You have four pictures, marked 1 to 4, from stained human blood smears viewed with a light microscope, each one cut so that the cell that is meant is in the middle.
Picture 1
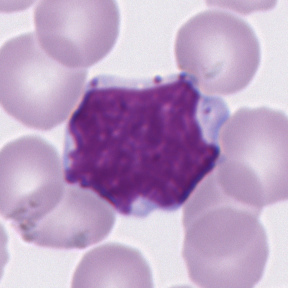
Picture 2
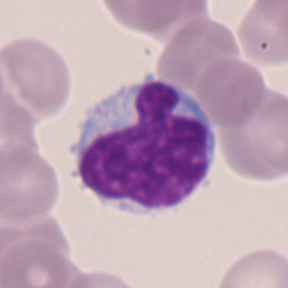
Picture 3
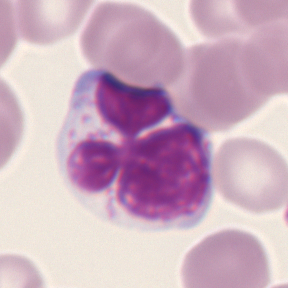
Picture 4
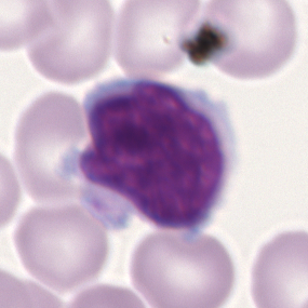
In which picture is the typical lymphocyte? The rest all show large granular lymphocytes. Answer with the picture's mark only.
4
